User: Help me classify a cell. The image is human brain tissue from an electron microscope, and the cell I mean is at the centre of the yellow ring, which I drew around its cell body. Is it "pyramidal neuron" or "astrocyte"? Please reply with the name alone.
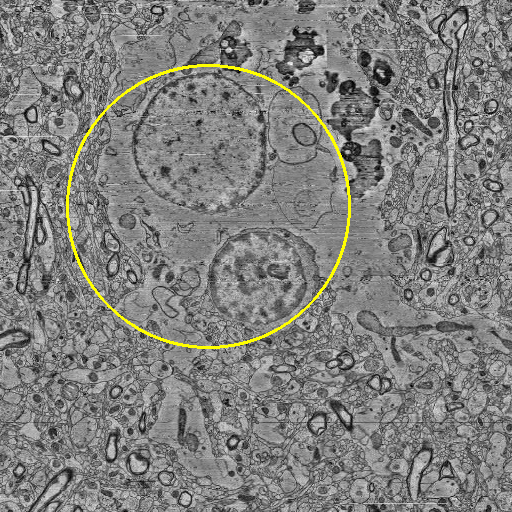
astrocyte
